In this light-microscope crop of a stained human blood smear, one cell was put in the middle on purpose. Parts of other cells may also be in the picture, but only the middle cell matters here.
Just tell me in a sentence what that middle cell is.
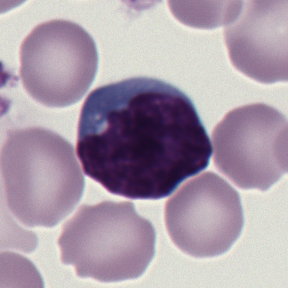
The cell occupying the middle of the crop is a typical lymphocyte.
